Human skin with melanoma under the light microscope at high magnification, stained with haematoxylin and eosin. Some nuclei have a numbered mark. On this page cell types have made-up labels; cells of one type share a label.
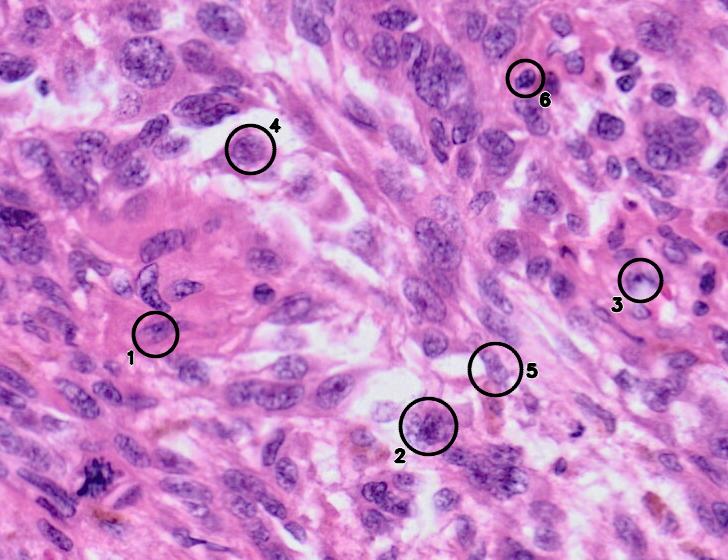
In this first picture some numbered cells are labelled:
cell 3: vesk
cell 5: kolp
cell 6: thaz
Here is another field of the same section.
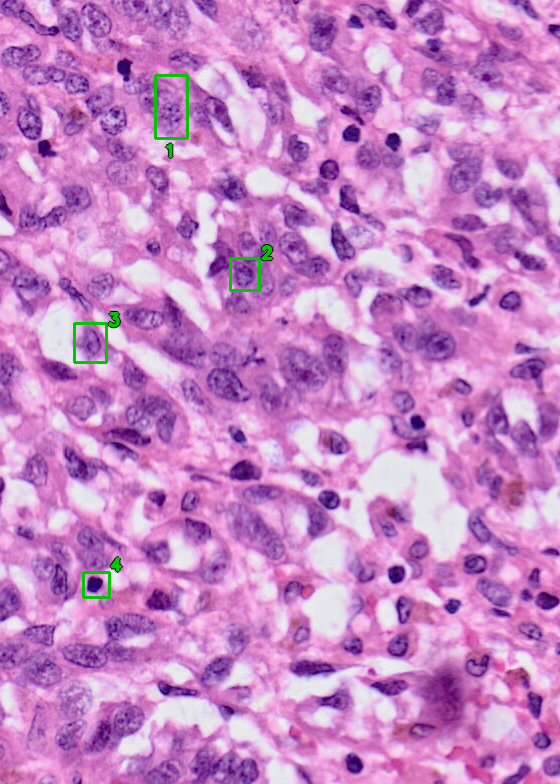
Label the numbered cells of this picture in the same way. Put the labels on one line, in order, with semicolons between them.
kolp; kolp; kolp; thaz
